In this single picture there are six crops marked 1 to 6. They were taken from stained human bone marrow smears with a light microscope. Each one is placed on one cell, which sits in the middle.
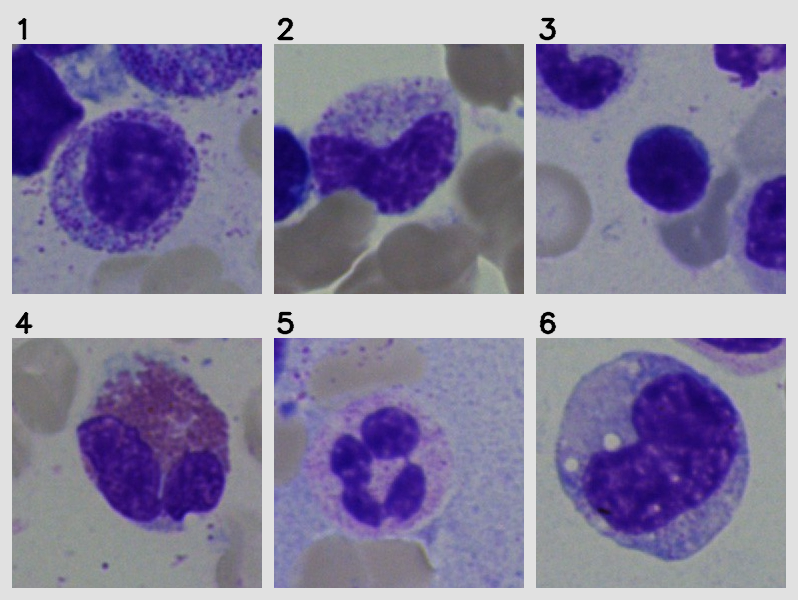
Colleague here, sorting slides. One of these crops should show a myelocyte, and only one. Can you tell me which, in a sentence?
Crop 1 is the crop containing a myelocyte.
